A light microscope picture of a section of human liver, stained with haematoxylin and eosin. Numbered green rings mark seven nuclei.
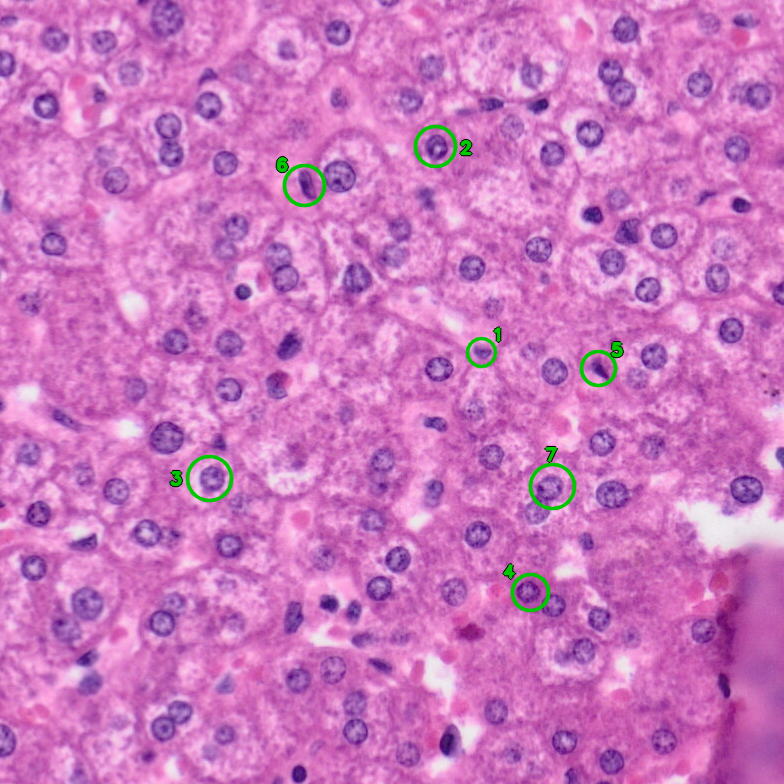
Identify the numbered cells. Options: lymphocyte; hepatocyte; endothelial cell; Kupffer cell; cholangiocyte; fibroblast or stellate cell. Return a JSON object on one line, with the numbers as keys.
{"1": "endothelial cell", "2": "hepatocyte", "3": "hepatocyte", "4": "hepatocyte", "5": "endothelial cell", "6": "endothelial cell", "7": "hepatocyte"}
